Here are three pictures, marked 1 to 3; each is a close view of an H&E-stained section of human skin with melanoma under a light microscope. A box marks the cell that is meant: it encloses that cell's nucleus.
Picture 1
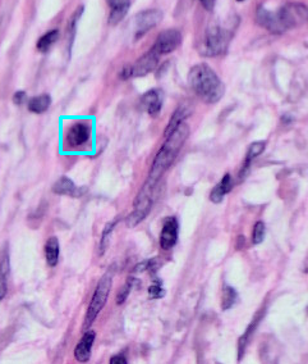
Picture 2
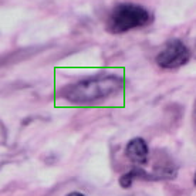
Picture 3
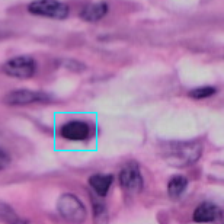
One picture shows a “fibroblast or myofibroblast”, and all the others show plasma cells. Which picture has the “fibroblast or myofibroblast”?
2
